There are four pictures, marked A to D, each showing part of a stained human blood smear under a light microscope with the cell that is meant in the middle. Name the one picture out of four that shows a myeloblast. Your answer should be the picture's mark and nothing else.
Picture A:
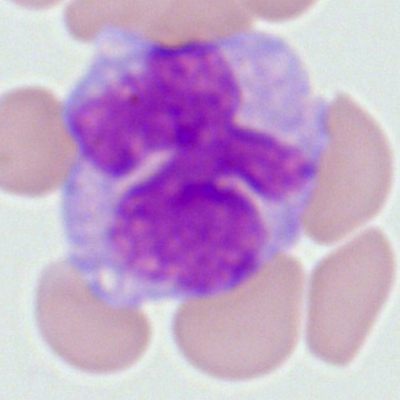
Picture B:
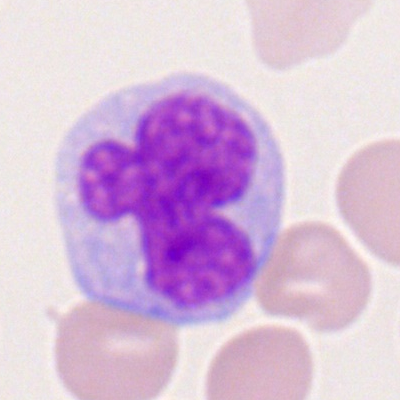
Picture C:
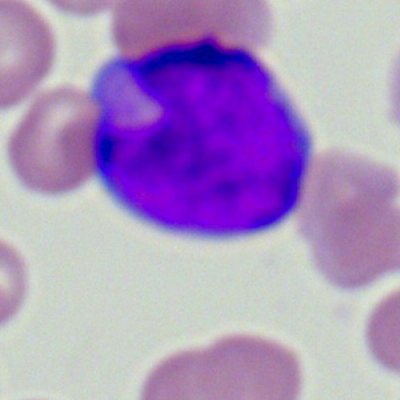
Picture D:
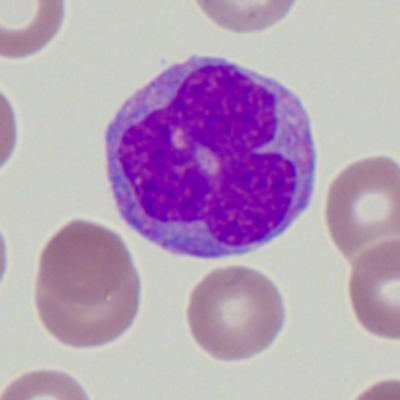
C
